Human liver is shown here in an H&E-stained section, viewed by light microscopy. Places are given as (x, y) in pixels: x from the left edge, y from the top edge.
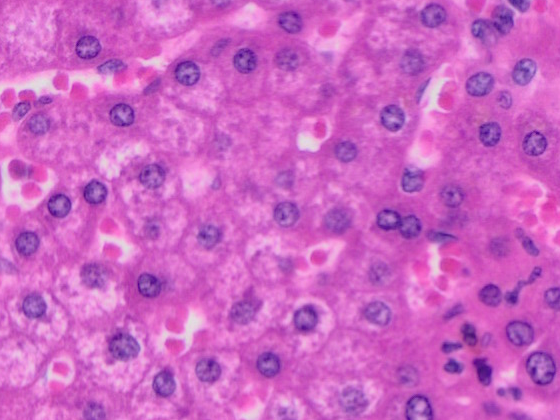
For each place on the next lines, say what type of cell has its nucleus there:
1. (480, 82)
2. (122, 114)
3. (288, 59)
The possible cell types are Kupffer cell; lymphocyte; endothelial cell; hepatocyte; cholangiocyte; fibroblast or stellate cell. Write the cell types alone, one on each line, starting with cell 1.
cholangiocyte
hepatocyte
hepatocyte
